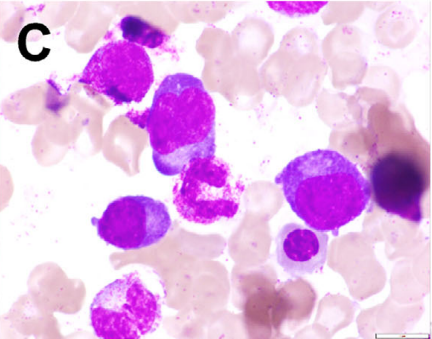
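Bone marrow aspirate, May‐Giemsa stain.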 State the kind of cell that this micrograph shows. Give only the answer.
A: Plasma cells.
